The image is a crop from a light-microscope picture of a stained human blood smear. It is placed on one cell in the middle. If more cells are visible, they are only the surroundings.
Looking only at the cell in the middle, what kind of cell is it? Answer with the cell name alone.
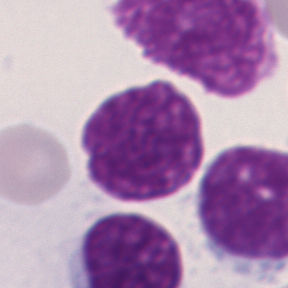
myeloblast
